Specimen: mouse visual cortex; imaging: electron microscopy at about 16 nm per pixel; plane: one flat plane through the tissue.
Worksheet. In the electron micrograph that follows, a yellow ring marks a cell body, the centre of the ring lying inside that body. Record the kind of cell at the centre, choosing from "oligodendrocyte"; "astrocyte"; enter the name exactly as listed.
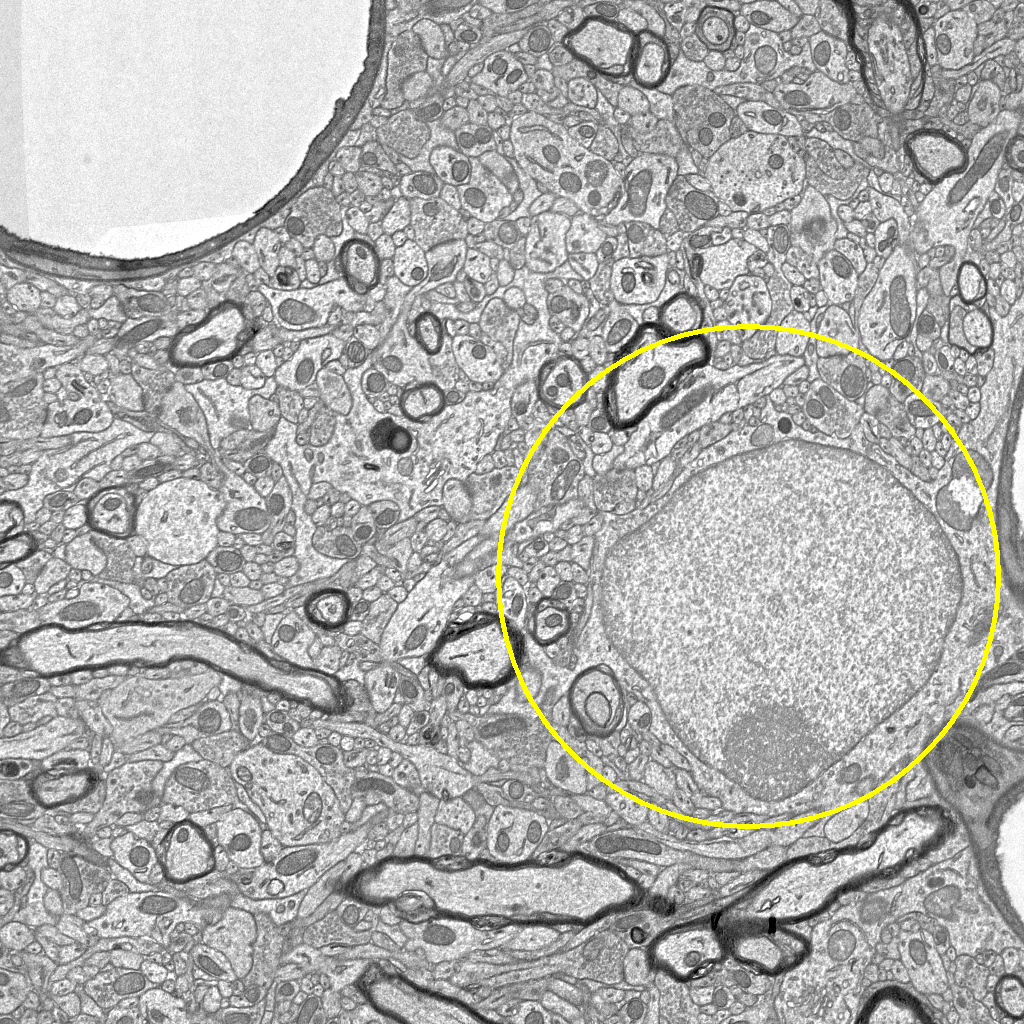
astrocyte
